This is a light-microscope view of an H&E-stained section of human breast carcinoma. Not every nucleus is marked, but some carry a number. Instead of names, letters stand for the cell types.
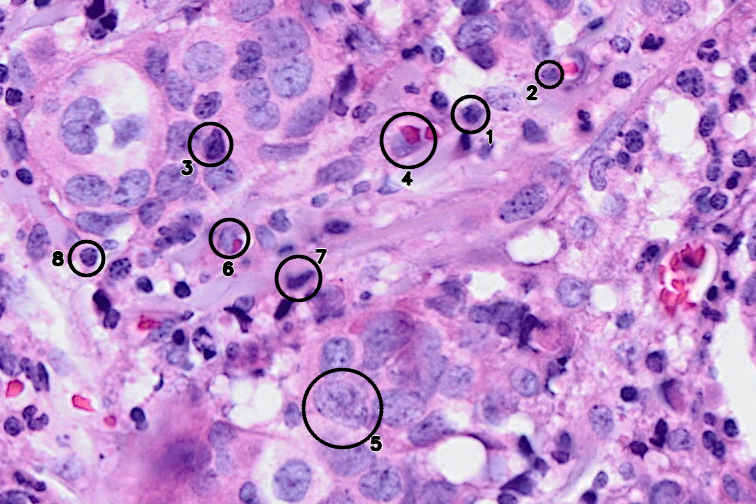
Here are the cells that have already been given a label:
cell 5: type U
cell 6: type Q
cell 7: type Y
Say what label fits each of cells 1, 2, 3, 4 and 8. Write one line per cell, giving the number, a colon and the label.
1: type Y
2: type Q
3: type U
4: type Q
8: type Y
